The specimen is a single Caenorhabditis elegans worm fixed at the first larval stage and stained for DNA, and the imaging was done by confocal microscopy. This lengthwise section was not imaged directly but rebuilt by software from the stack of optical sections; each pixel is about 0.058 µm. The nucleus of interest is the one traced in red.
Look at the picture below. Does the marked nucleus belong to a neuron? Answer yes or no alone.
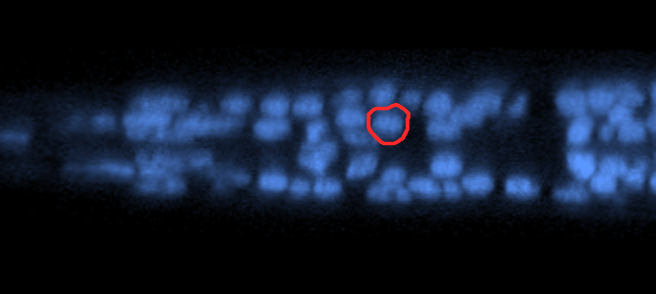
yes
